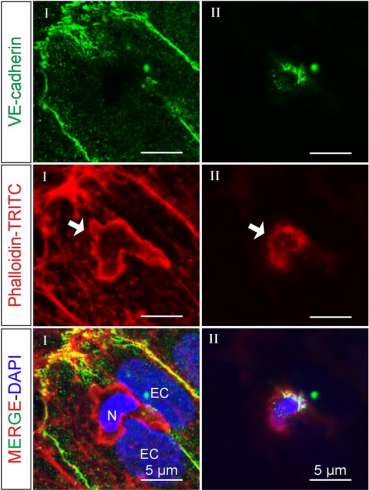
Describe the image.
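Large oval blue endothelial nuclei lie beside a smaller, lobed blue neutrophil nucleus. Green lines trace the junctions between neighbouring endothelial cells. Red filaments run through the endothelial cytoplasm and gather into a bright ring around the site where the neutrophil passes.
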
